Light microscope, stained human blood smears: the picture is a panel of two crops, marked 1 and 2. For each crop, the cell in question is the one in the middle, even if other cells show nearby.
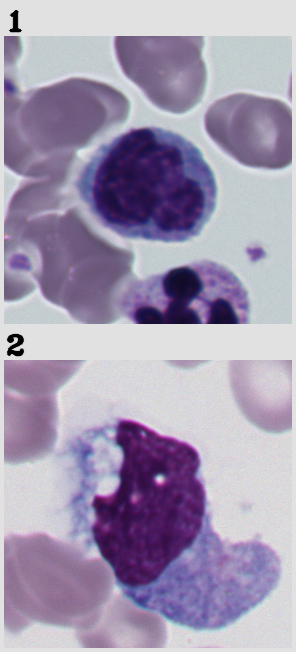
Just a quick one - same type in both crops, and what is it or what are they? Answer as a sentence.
Yes, as an answer for this item, both crops show monocytes.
